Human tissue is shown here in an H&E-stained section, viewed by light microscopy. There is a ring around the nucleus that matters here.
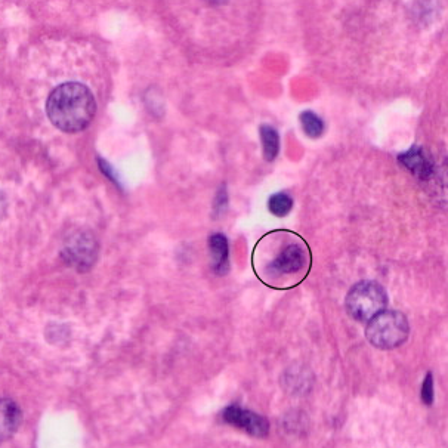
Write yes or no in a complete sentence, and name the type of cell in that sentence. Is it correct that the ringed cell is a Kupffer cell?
Yes, put very simply, the ringed cell is a Kupffer cell.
